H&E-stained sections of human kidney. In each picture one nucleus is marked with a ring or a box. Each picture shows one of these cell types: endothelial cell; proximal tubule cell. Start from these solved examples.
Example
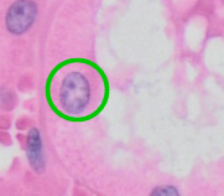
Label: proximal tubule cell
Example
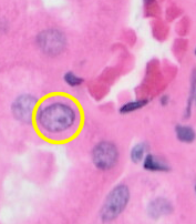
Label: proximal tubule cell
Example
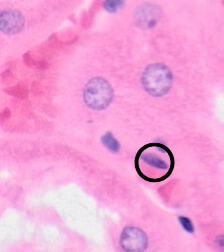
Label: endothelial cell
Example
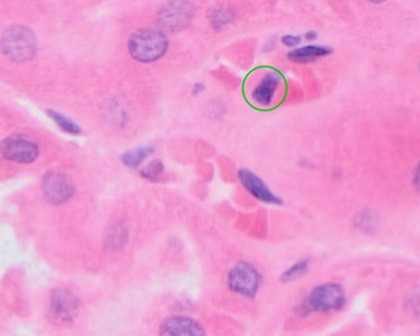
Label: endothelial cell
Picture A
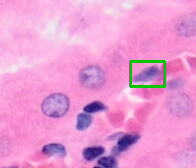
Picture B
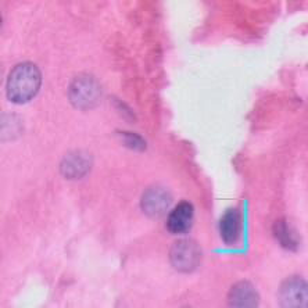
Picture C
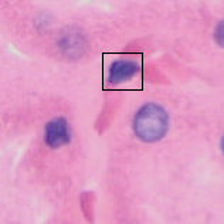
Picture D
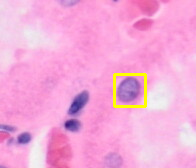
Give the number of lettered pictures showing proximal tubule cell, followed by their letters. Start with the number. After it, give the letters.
Count: 1 (D)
